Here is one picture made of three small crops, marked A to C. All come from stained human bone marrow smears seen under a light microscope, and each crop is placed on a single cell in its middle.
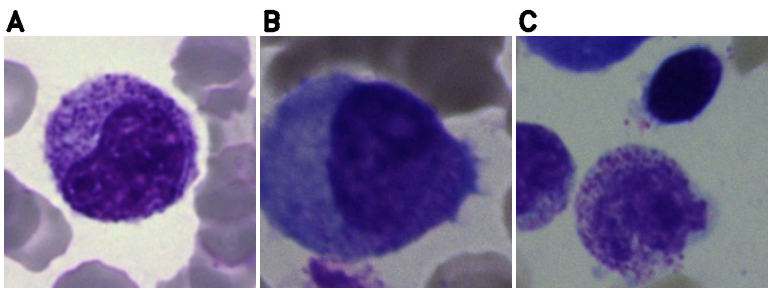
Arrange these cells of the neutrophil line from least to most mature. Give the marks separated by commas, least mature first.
B, A, C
